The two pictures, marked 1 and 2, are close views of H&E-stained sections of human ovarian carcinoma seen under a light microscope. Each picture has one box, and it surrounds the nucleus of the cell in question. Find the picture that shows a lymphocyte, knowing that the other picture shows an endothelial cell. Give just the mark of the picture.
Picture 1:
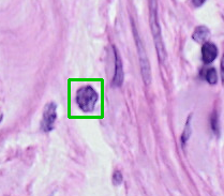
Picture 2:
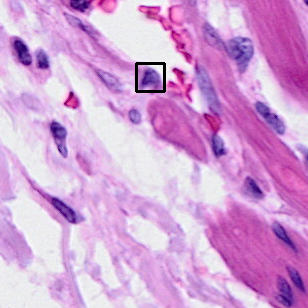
1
